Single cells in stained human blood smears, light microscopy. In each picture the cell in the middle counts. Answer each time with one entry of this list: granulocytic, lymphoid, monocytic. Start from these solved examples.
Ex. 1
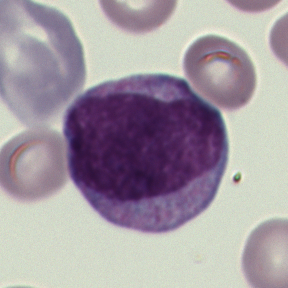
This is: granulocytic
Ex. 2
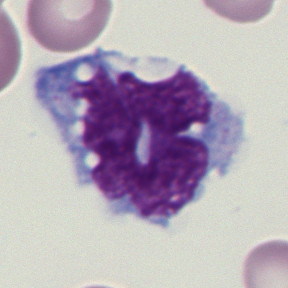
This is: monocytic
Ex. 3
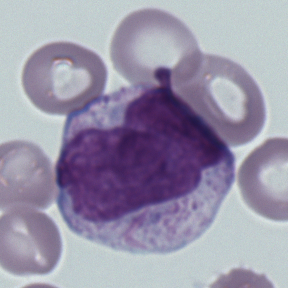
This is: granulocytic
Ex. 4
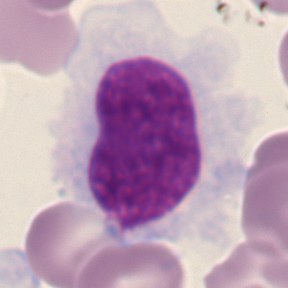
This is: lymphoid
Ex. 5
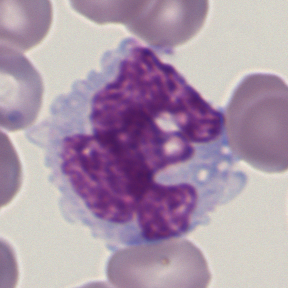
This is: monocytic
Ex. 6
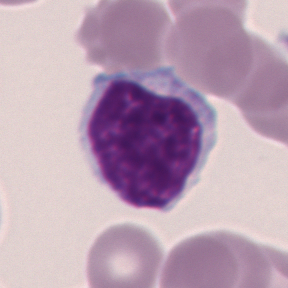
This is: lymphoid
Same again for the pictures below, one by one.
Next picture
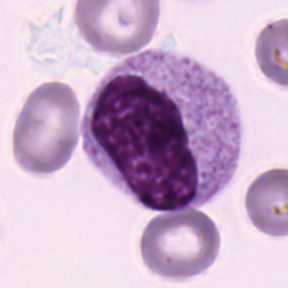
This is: granulocytic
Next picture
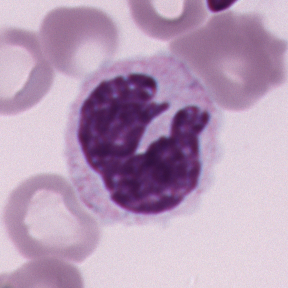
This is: granulocytic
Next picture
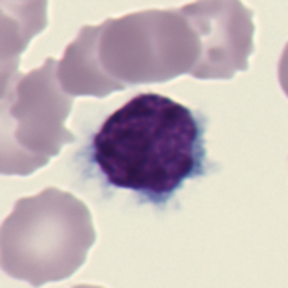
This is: lymphoid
